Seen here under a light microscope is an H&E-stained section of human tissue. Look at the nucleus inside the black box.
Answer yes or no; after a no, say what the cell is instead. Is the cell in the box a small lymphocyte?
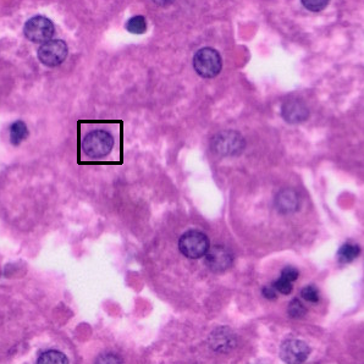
No, it is a hepatocyte.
